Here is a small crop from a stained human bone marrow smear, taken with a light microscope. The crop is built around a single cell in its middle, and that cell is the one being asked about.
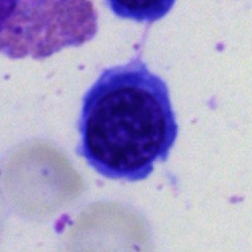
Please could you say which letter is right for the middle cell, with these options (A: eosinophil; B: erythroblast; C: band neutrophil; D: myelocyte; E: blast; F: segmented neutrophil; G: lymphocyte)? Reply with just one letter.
B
